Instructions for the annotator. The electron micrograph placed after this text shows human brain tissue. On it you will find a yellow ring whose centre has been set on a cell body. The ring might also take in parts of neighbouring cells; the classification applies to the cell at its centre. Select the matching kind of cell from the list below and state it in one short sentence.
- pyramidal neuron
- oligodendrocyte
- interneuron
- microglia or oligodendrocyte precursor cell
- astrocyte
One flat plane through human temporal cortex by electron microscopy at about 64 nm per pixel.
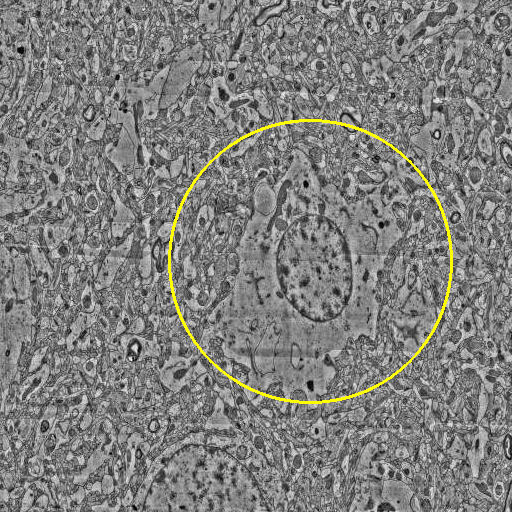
The ring is drawn on the cell body of an astrocyte.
